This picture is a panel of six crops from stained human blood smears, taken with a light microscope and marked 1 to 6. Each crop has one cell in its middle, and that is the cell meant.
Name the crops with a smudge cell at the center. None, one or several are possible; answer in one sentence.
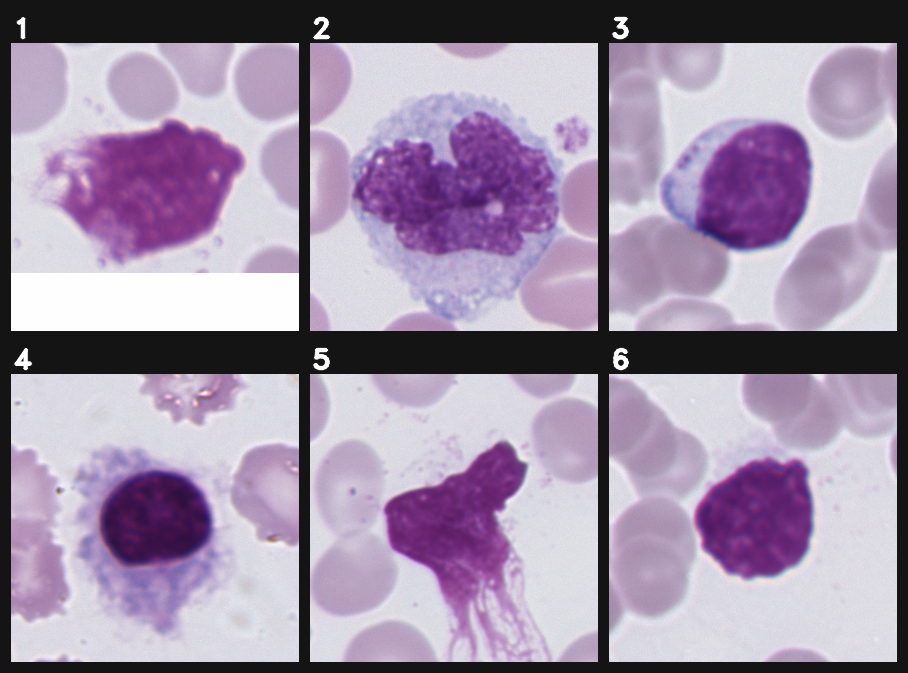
The cells sitting in the middle of crops 1, 5 and 6 are smudge cells.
